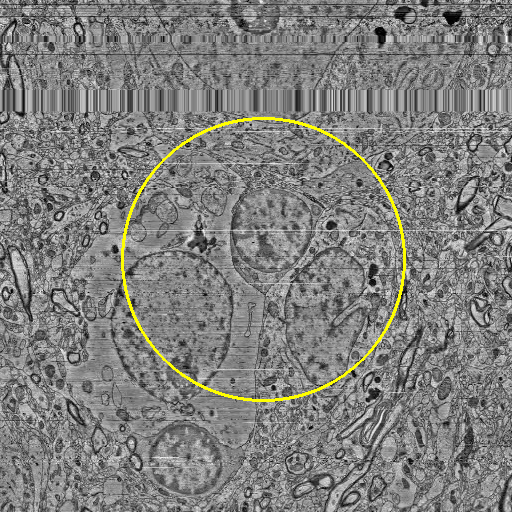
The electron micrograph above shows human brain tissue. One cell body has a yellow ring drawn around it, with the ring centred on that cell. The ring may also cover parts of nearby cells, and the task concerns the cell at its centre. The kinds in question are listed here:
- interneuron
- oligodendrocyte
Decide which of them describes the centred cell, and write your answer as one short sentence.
The centred cell is an oligodendrocyte.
